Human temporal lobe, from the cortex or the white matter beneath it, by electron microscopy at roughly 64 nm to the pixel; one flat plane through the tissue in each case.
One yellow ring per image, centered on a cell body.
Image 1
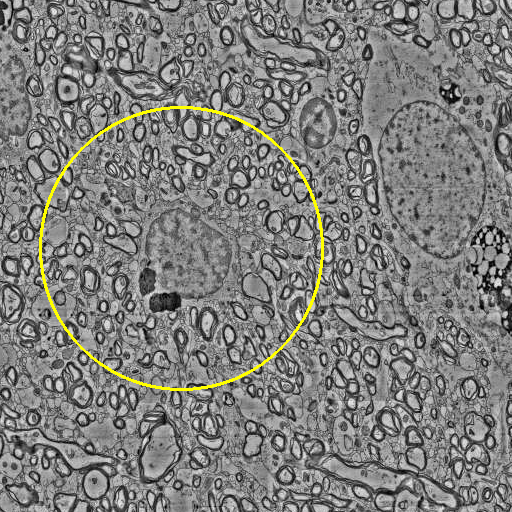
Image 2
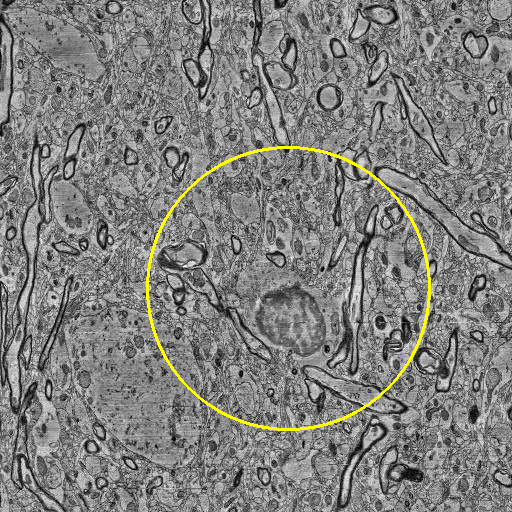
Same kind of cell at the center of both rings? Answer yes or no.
yes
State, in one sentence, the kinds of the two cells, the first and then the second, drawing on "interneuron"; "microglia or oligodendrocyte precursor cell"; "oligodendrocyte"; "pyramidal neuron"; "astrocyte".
Each of the two pictures has an oligodendrocyte at the ring centre.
